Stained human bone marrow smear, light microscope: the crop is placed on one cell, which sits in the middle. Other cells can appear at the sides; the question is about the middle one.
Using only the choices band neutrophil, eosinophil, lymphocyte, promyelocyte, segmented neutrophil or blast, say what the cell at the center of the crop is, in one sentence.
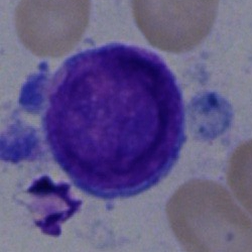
The cell featured at the centre of this crop is a blast.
